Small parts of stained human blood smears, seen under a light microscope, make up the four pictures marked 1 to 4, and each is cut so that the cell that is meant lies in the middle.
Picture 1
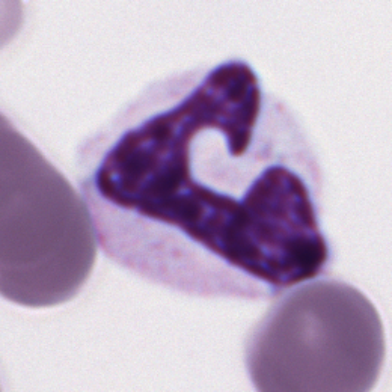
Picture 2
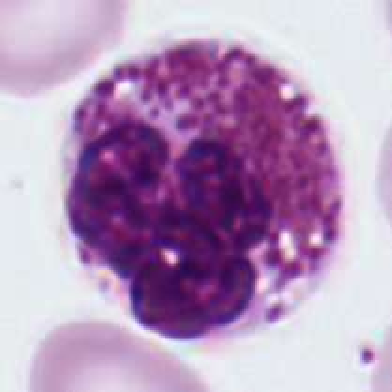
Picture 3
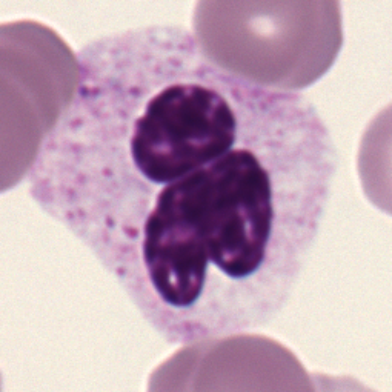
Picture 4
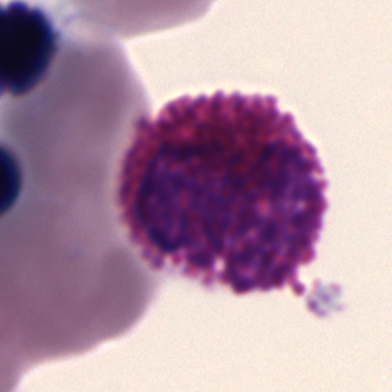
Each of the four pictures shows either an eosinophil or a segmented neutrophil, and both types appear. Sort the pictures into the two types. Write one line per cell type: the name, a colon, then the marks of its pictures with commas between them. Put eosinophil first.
eosinophil: 2, 4
segmented neutrophil: 1, 3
